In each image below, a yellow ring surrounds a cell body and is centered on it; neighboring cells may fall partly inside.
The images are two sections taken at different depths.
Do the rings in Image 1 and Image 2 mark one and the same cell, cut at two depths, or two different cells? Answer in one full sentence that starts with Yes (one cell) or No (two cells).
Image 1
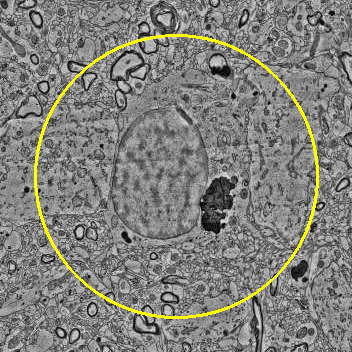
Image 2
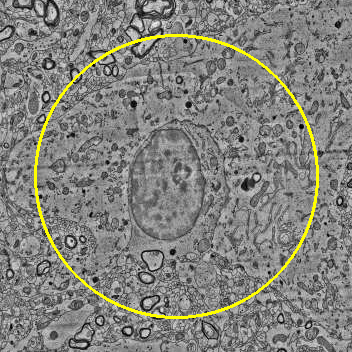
Yes, the rings do not mark different cells but one cell.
